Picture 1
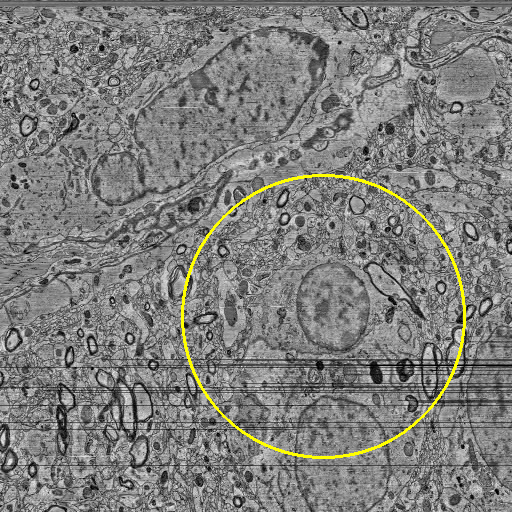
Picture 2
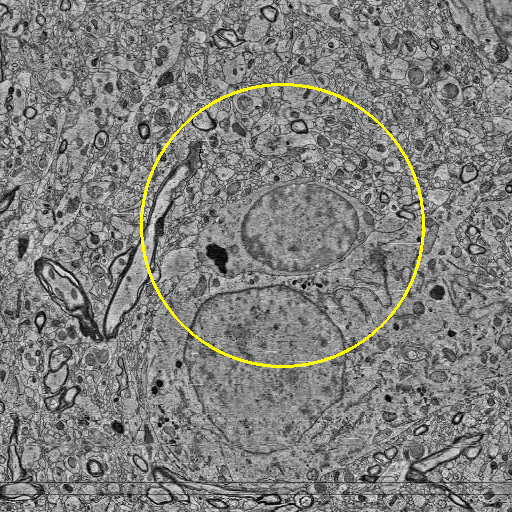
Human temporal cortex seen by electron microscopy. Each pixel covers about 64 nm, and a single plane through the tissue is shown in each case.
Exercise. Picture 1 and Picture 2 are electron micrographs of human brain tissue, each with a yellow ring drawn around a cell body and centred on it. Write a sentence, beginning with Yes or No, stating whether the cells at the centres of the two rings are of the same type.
Yes, the cells at the centres of both rings are of the same type.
